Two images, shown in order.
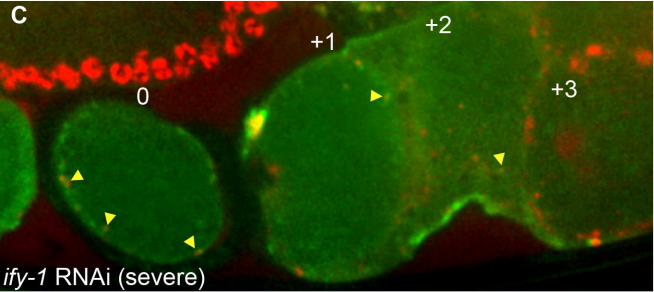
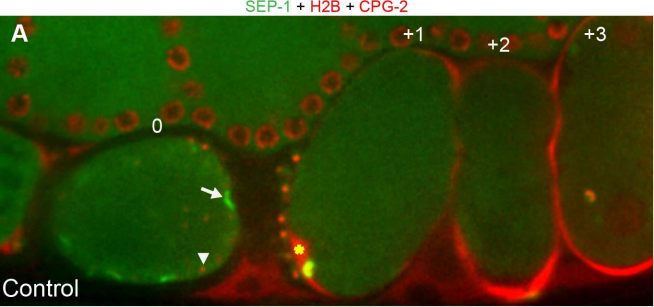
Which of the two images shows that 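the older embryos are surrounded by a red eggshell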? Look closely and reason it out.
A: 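The second image. First image: the older embryos lack a continuous red rim and show only scattered dots. Second image: the older embryos are outlined by a bright continuous red line.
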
